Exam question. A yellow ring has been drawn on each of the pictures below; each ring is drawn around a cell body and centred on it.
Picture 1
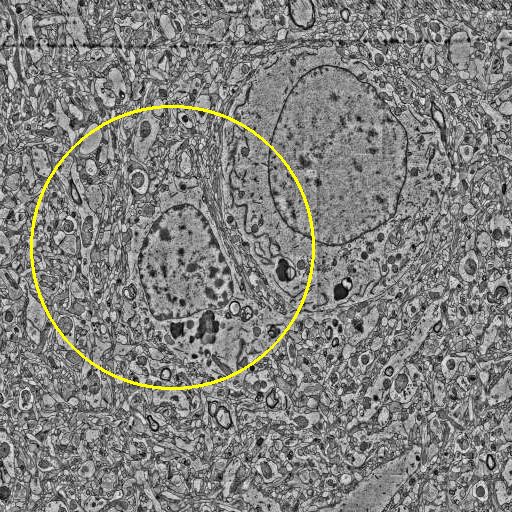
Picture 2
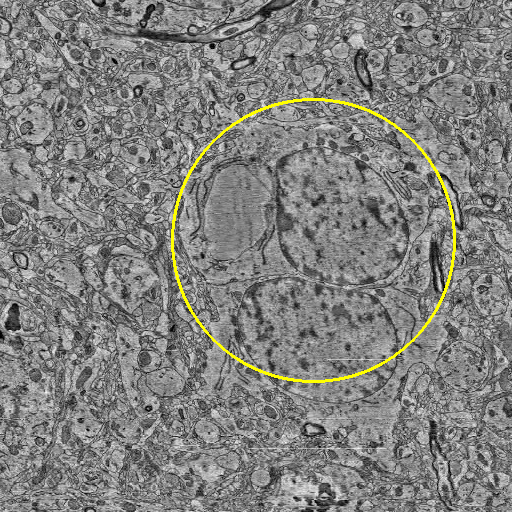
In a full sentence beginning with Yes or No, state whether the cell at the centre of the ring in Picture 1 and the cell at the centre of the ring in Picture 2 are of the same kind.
Yes, the two cells are of the same kind.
